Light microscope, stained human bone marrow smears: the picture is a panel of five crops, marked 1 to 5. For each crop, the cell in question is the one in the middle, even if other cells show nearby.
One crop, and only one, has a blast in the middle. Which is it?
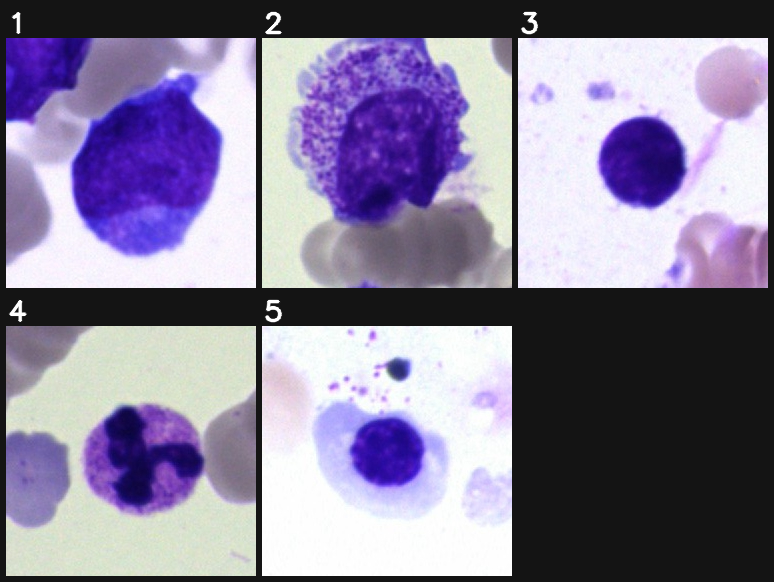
1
